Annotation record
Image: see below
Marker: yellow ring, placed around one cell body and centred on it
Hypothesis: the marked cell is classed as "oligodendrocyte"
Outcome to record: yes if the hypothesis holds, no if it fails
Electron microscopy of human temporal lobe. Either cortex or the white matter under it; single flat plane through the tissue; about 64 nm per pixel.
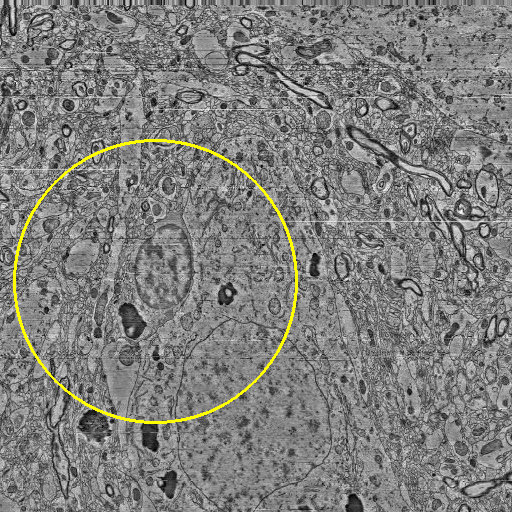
yes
